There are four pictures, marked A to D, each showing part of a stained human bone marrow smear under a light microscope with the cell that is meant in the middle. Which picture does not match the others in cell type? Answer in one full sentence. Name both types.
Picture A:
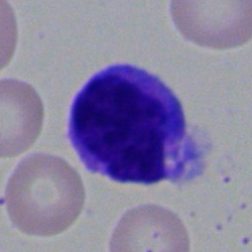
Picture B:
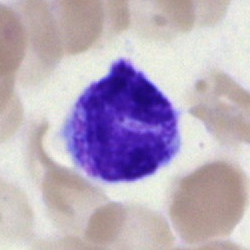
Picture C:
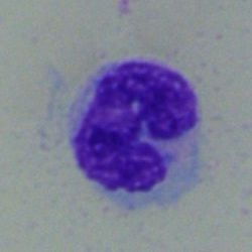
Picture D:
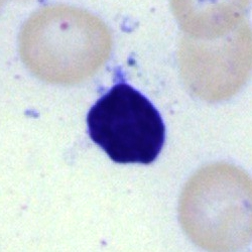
Unlike the rest, which show monocytes, picture D shows a lymphocyte.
